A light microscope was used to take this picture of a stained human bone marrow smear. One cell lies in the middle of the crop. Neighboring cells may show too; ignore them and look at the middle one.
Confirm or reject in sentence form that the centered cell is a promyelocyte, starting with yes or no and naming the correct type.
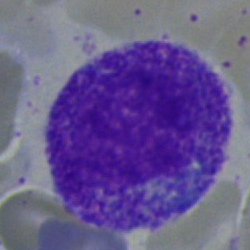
Yes, the cell in the middle is recognised as a promyelocyte.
